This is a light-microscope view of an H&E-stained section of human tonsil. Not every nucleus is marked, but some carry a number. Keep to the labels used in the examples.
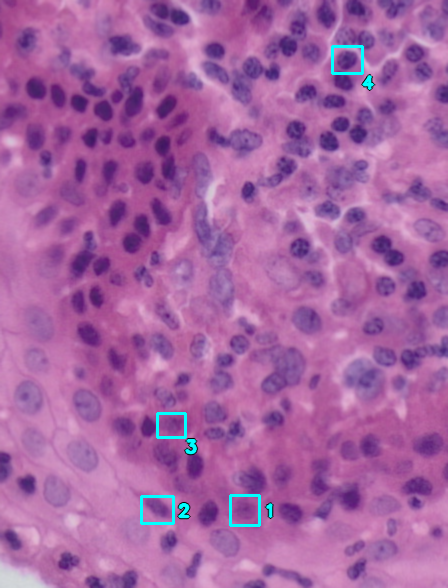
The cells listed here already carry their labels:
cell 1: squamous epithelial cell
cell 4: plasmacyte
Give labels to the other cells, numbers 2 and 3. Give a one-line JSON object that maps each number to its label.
{"2": "squamous epithelial cell", "3": "squamous epithelial cell"}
